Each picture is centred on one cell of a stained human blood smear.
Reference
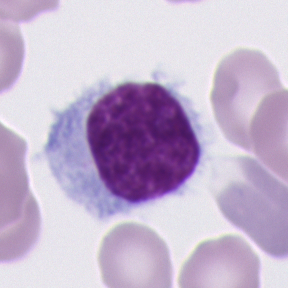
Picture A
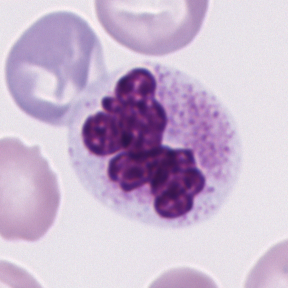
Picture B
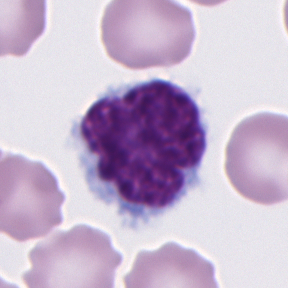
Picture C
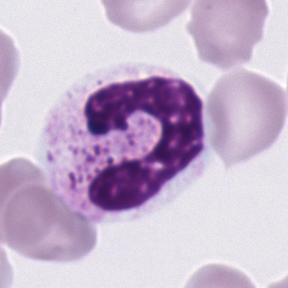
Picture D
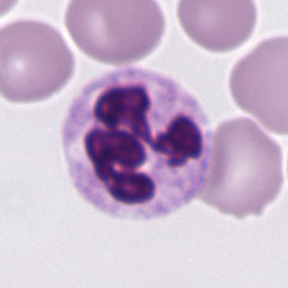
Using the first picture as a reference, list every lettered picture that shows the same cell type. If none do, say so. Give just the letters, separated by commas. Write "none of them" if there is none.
B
